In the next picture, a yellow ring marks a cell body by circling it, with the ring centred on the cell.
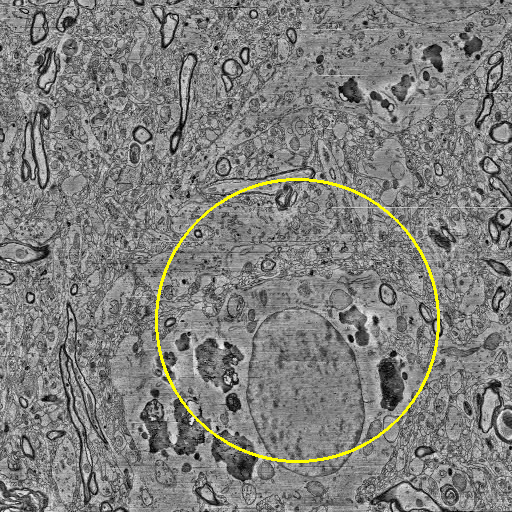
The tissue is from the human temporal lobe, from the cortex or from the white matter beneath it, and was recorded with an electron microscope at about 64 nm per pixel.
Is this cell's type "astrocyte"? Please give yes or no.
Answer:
yes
